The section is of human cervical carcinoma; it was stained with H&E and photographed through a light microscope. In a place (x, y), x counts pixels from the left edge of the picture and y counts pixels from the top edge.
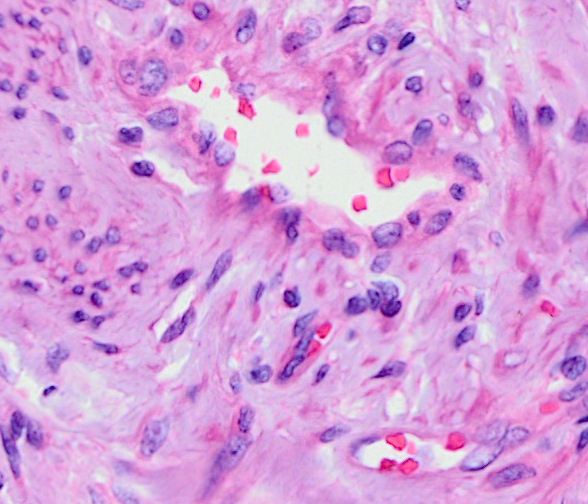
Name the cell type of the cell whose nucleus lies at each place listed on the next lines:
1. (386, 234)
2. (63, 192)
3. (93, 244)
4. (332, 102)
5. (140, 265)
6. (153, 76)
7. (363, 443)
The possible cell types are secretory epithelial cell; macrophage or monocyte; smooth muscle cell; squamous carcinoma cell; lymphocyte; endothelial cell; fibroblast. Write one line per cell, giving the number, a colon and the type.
1: endothelial cell
2: smooth muscle cell
3: smooth muscle cell
4: endothelial cell
5: smooth muscle cell
6: endothelial cell
7: endothelial cell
